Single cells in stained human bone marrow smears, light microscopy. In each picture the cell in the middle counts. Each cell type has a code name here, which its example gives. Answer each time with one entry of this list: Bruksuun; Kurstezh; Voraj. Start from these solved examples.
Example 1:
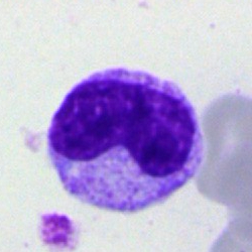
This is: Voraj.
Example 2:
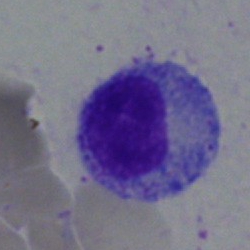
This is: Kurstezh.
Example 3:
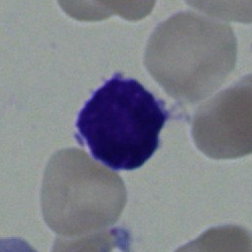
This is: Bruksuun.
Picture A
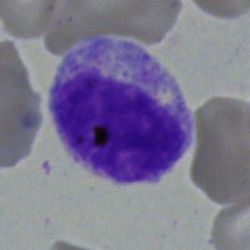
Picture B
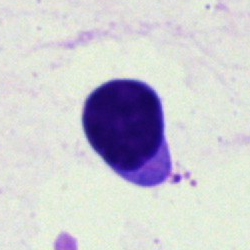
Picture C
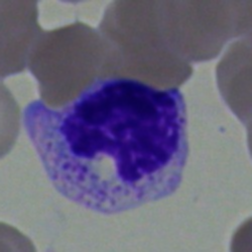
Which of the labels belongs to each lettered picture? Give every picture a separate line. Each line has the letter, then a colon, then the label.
A: Kurstezh.
B: Bruksuun.
C: Kurstezh.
